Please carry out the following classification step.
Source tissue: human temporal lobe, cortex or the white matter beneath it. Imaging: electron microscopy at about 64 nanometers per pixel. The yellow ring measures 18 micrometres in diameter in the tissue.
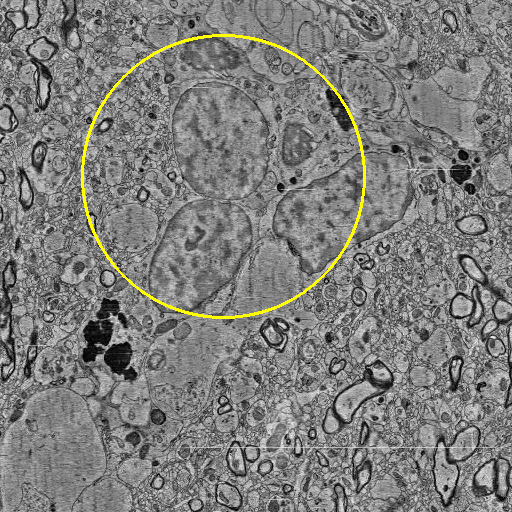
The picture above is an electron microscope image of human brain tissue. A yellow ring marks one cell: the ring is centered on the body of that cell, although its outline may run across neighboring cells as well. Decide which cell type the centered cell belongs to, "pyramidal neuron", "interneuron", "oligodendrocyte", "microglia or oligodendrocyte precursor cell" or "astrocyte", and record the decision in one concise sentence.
The cell centered in the yellow ring is an oligodendrocyte.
